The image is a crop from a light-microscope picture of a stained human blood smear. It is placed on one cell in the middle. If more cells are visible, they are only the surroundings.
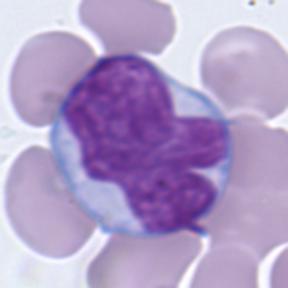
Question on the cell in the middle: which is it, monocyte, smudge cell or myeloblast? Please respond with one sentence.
The cell in the exact centre of the crop is a myeloblast.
